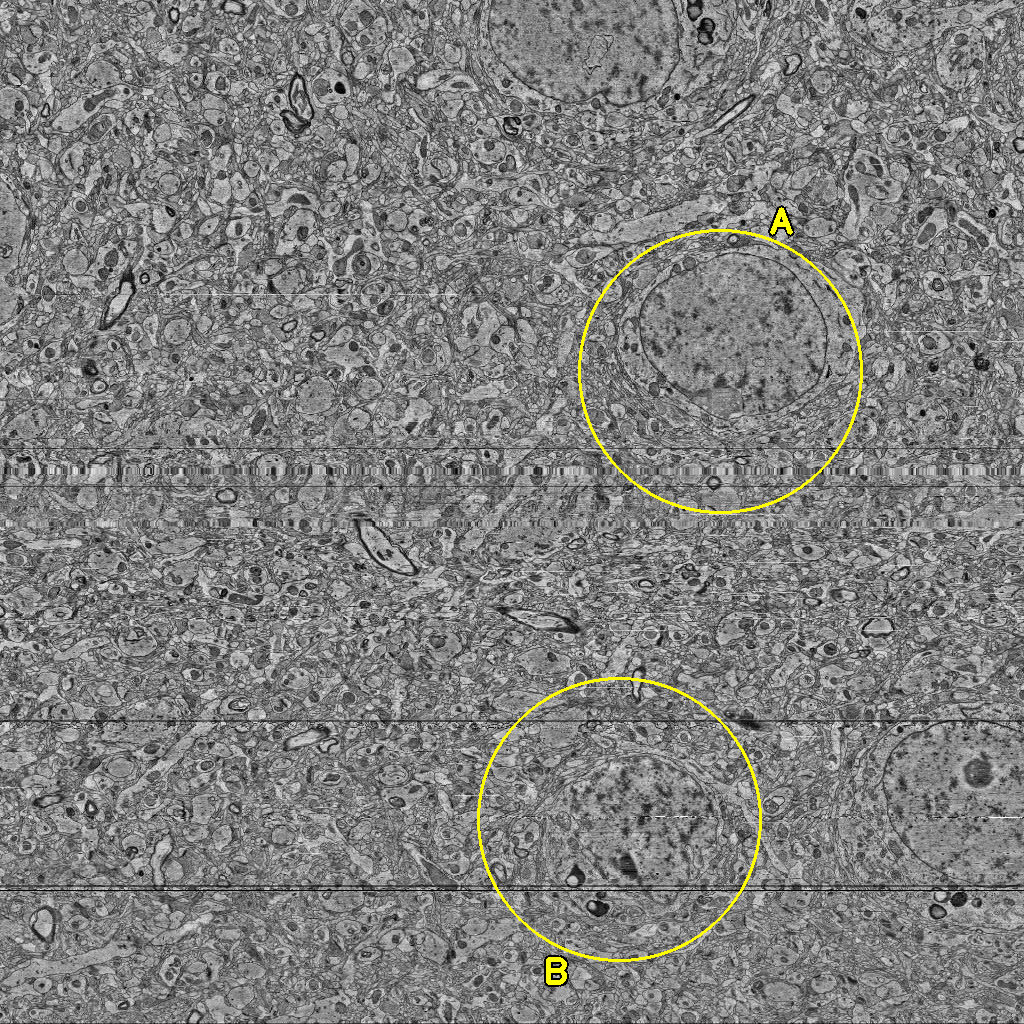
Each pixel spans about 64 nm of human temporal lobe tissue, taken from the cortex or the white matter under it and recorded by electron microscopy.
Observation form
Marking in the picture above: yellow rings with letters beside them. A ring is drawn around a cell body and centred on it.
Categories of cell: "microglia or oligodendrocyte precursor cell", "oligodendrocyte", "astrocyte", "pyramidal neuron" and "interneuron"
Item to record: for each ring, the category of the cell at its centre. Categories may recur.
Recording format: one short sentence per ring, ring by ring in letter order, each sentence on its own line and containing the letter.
Ring A is placed on a pyramidal neuron.
Ring B is placed on an interneuron.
